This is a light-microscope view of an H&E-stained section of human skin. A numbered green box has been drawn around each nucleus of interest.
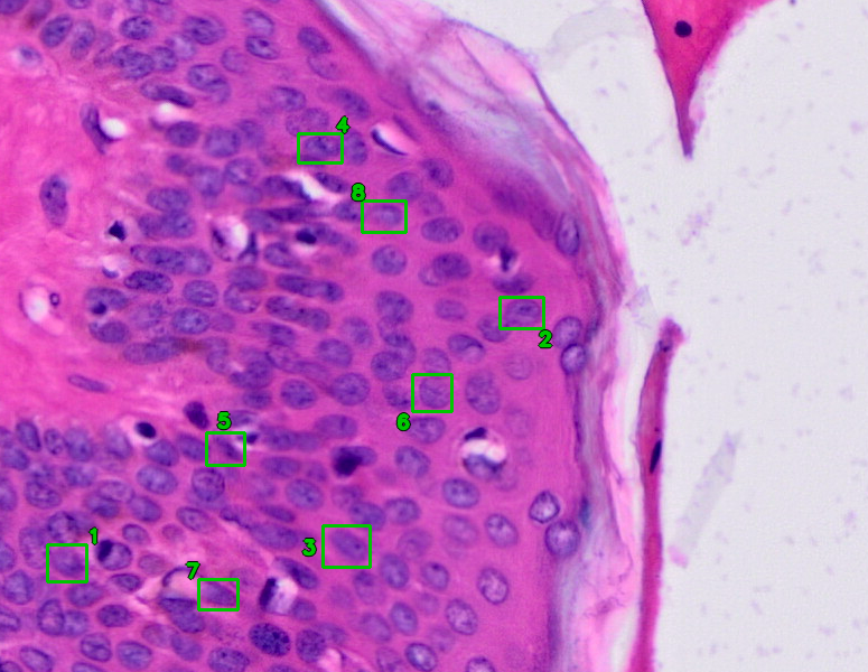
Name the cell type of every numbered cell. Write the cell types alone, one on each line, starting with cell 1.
basal keratinocyte
suprabasal keratinocyte
suprabasal keratinocyte
suprabasal keratinocyte
basal keratinocyte
suprabasal keratinocyte
basal keratinocyte
suprabasal keratinocyte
